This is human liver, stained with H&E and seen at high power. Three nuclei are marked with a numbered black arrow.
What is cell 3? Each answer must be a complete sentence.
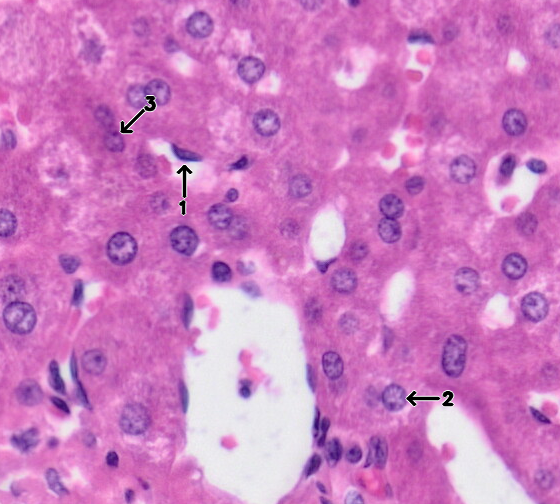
The cell assigned the number 3 is a hepatocyte.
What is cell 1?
The correct label for cell 1 is an endothelial cell.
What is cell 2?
The numeral 2 marks a hepatocyte in this section.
